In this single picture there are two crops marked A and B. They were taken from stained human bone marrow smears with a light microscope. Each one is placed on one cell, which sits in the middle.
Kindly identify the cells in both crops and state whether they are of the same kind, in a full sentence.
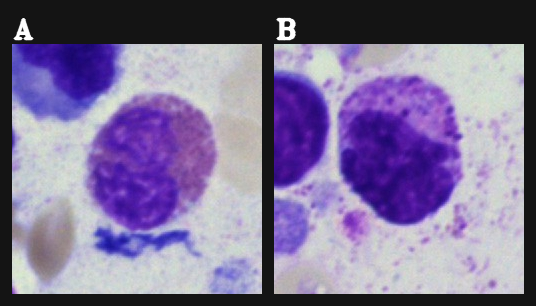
Yes, what both crops show at their centres are basophils.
